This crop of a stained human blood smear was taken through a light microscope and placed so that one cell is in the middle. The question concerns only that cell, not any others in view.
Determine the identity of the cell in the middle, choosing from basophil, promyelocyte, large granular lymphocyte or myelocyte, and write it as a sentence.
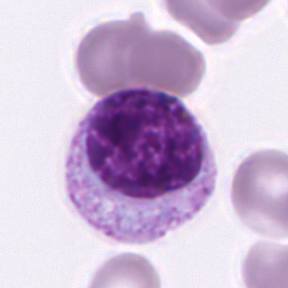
The single cell at the center of the crop is a myelocyte.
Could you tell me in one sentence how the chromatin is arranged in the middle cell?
Answer: the chromatin in this nucleus is coarsely clumped.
